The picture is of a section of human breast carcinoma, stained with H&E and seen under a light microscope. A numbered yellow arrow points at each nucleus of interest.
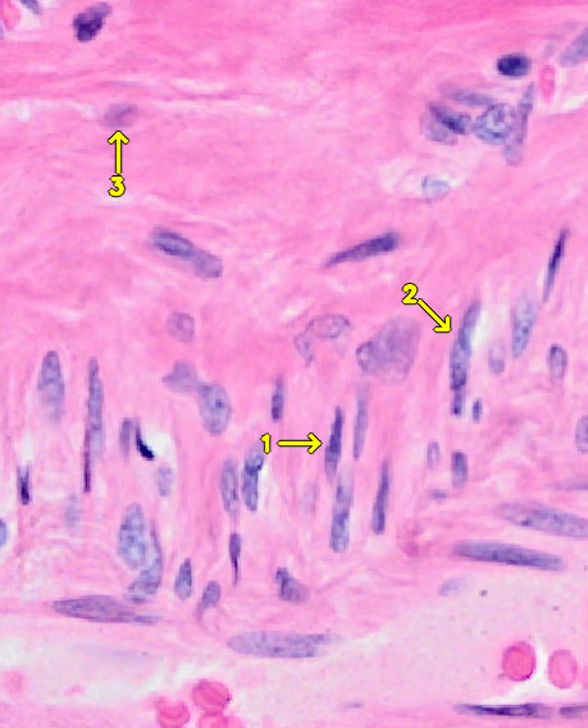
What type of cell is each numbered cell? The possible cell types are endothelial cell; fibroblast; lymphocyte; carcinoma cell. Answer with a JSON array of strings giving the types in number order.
["endothelial cell", "endothelial cell", "fibroblast"]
